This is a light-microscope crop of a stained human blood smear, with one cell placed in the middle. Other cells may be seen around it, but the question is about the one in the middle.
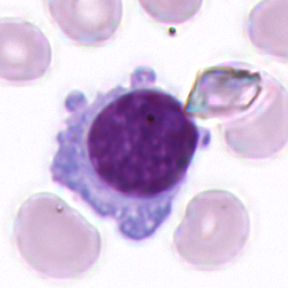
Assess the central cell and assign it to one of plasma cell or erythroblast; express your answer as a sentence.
The middle of this crop holds a plasma cell.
